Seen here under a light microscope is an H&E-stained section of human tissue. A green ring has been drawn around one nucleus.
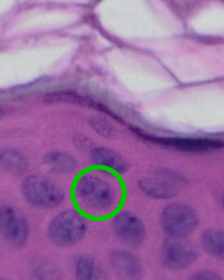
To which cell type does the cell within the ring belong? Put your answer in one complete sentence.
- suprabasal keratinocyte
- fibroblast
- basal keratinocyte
The cell meant here is a suprabasal keratinocyte.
